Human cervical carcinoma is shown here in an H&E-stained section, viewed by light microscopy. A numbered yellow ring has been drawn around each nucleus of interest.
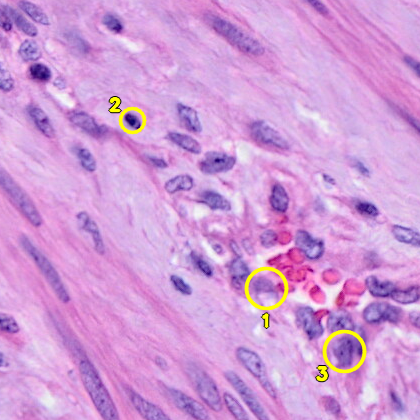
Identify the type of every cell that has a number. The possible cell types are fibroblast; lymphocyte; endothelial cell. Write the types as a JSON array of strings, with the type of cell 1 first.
["endothelial cell", "lymphocyte", "endothelial cell"]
